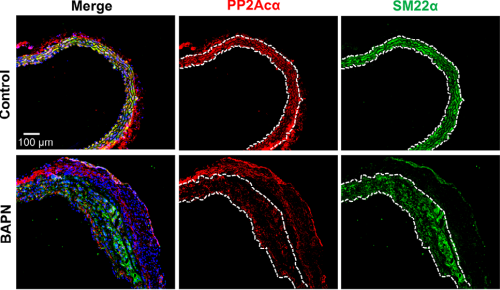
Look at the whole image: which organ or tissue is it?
Aortas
